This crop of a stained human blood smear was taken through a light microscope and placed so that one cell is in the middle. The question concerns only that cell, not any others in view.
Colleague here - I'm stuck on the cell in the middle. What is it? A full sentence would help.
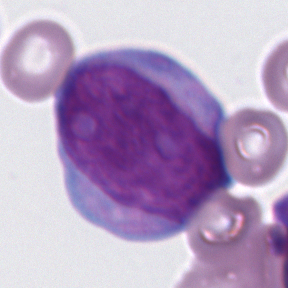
The cell of interest, located centrally, is an atypical promyelocyte.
